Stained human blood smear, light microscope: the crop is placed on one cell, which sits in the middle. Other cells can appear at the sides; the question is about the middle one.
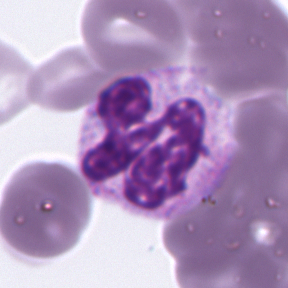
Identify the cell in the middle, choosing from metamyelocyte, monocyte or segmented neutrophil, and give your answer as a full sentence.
The cell in the exact centre of the crop is a segmented neutrophil.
